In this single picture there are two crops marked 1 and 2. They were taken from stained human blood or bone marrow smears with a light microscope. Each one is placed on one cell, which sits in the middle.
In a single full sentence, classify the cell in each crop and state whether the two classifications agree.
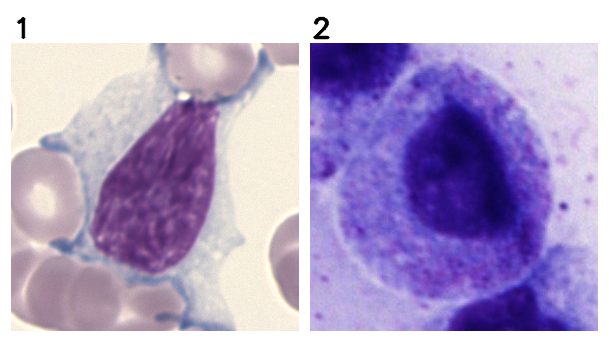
No, a blast occupies the middle of crop 1, and a promyelocyte the middle of crop 2.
